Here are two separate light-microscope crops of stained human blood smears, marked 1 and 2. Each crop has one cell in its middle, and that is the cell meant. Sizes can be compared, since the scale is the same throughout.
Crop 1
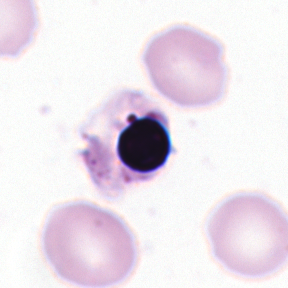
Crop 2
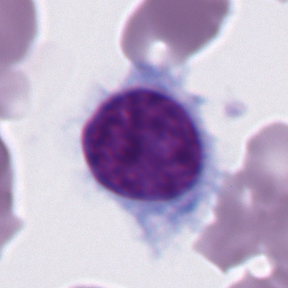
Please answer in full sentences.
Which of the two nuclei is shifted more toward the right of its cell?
Seen within its cell, the nucleus in crop 1 lies further toward the right.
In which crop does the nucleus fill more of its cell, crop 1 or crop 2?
It is the cell in crop 2 that is filled more by its nucleus.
